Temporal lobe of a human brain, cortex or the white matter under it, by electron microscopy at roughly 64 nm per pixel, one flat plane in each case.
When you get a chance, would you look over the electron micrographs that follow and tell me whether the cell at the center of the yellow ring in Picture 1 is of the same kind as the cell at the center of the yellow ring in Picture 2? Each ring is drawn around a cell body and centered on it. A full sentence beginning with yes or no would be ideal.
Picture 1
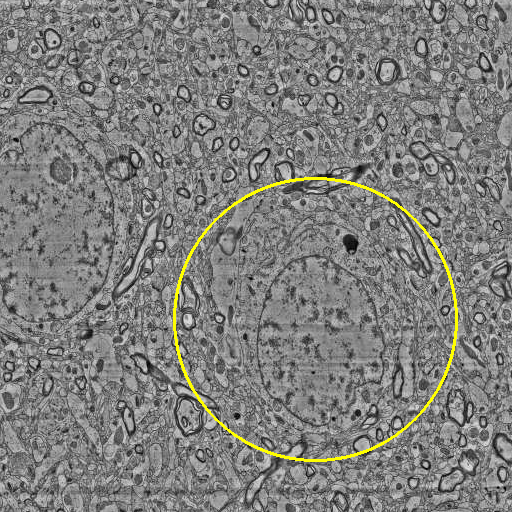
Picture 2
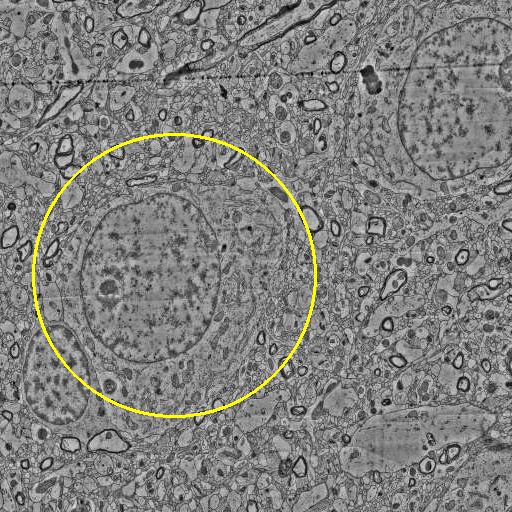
No, they are two kinds of cell.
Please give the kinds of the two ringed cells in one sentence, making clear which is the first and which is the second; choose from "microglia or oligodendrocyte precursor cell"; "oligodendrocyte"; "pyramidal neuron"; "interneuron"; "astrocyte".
In the second picture the ringed cell is an interneuron; in the first it is a pyramidal neuron.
